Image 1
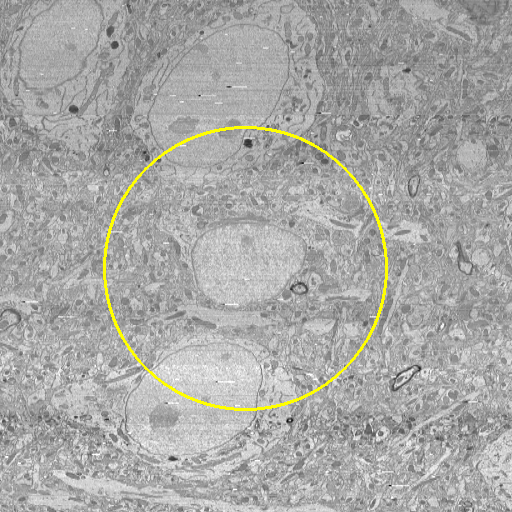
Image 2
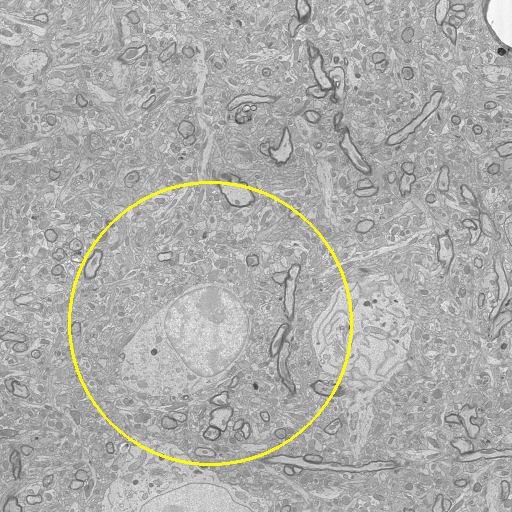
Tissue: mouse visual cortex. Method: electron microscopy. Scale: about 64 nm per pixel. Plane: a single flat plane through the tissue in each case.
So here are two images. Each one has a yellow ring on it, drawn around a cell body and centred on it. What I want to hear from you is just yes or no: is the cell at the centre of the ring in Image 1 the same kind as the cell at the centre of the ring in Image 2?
no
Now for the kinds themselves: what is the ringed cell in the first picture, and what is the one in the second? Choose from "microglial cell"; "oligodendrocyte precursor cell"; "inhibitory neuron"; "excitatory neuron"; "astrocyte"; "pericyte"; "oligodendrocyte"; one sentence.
Here the first cell is an astrocyte and the second cell is an oligodendrocyte.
